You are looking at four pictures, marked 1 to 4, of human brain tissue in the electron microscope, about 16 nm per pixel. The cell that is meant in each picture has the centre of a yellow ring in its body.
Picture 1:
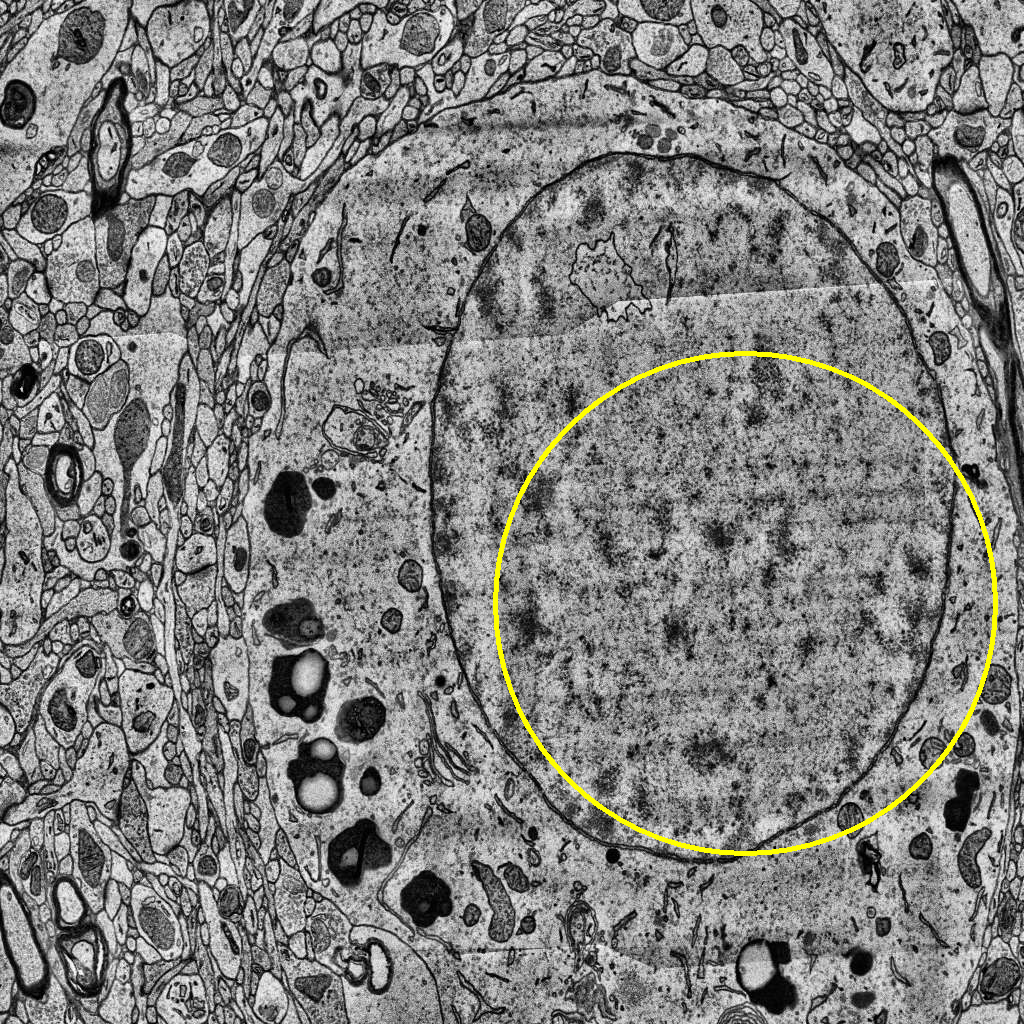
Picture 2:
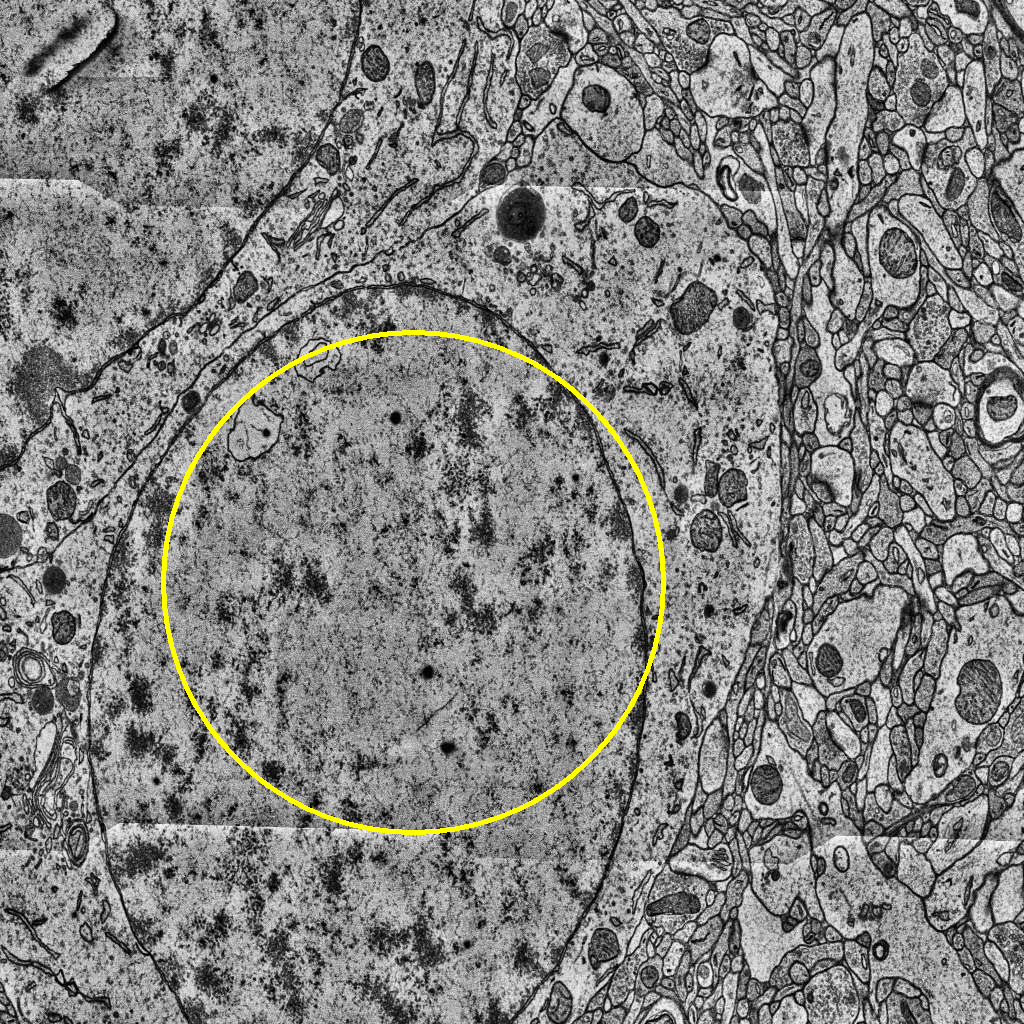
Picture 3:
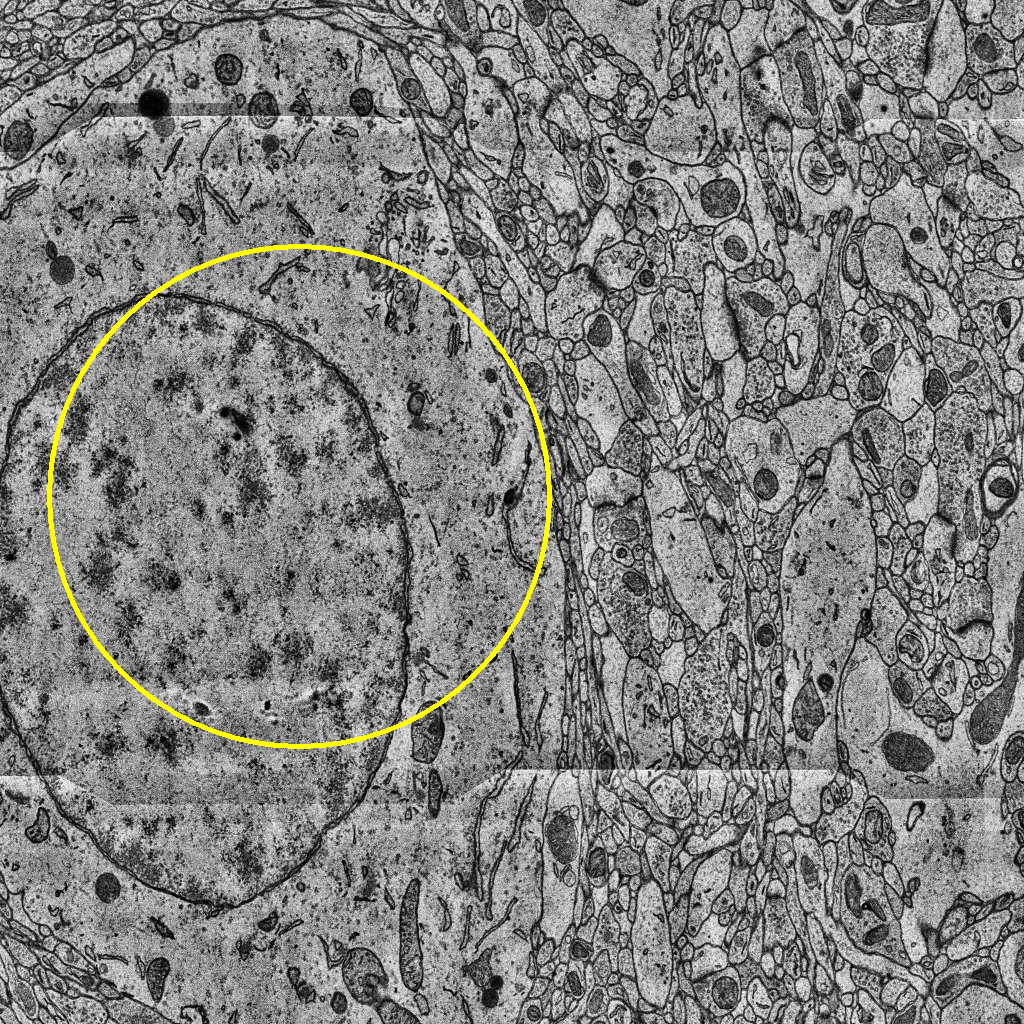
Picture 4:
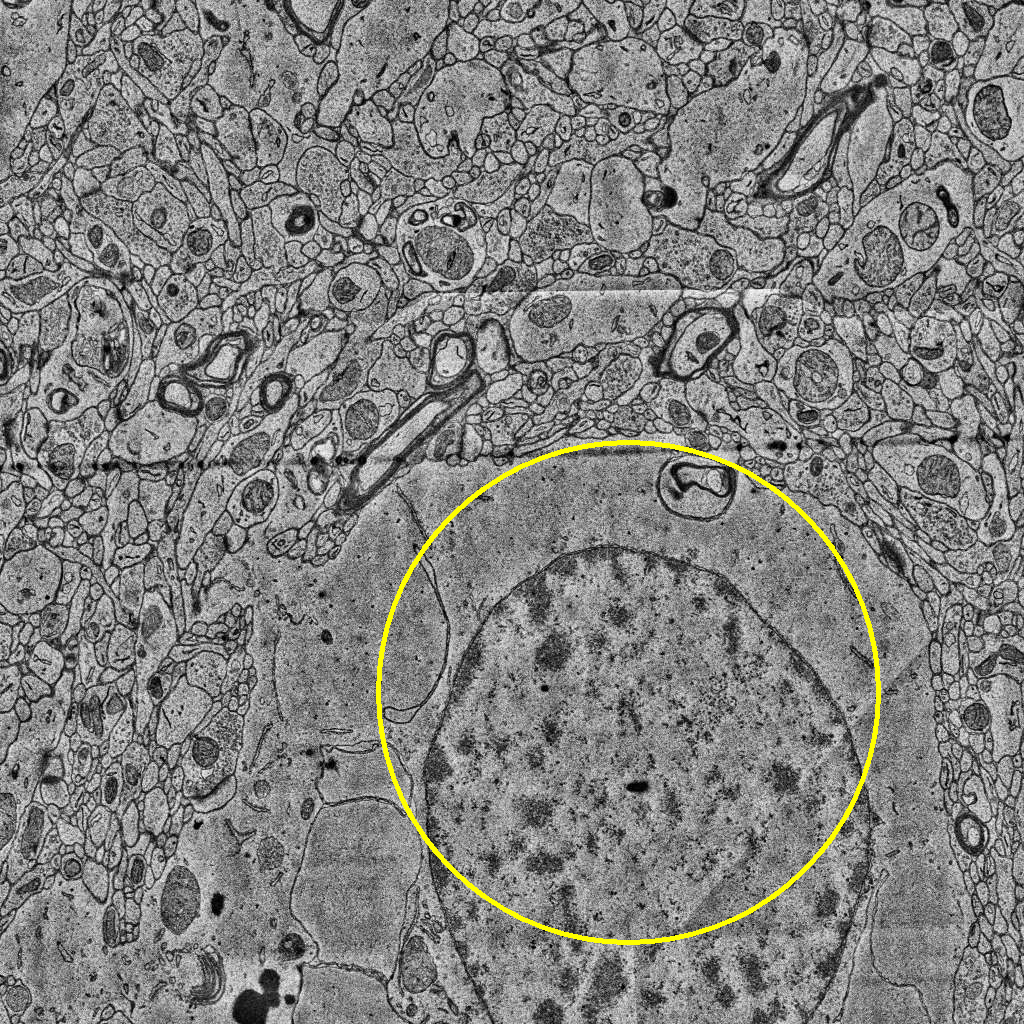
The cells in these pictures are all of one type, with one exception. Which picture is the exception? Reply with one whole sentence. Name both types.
Unlike the rest, which show pyramidal neurons, picture 4 shows an astrocyte.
